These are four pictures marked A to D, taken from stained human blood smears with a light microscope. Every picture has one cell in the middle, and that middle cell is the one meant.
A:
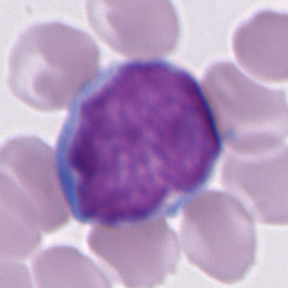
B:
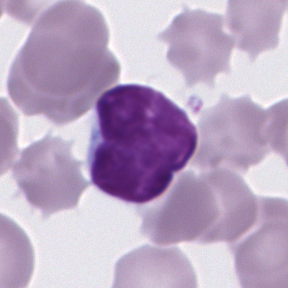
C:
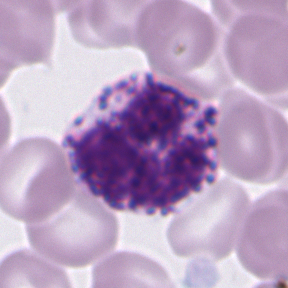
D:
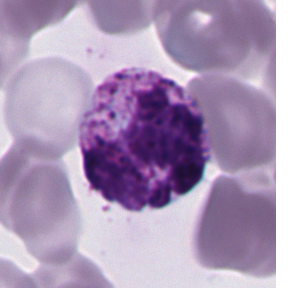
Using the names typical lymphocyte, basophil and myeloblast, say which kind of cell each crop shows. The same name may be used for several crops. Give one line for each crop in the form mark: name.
A: myeloblast
B: typical lymphocyte
C: basophil
D: basophil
